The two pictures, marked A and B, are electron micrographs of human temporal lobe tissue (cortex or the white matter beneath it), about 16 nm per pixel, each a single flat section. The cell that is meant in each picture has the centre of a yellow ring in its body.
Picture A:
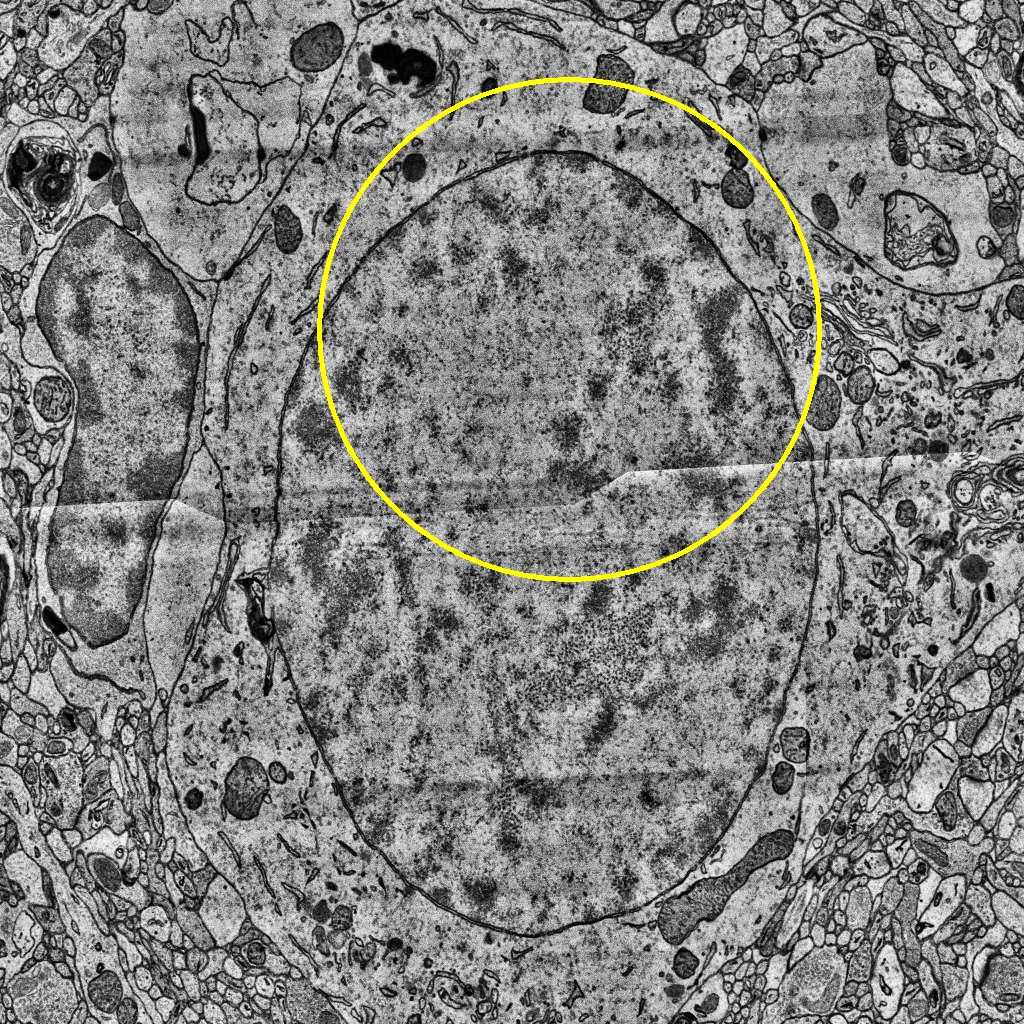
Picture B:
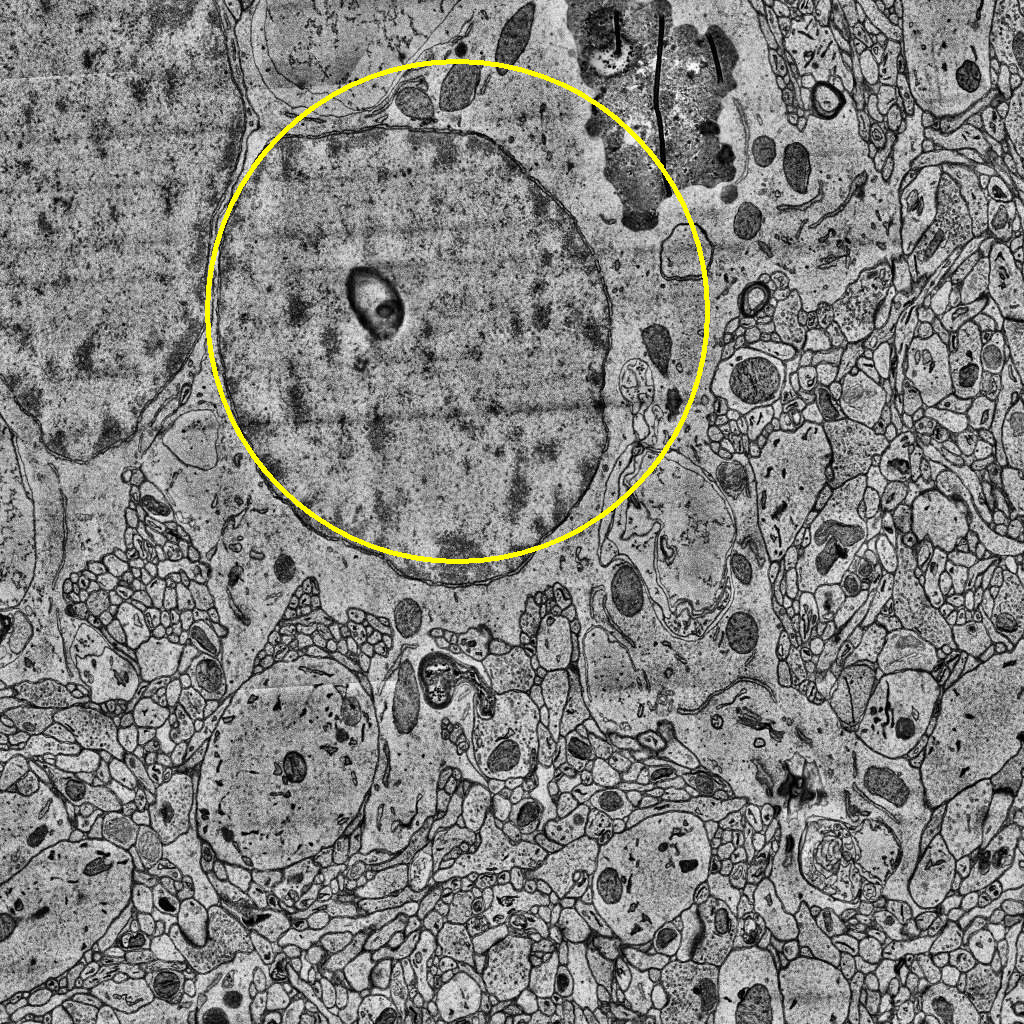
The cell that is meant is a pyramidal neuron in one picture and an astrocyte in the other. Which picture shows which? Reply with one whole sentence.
Picture A is of a pyramidal neuron, and picture B is of an astrocyte.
